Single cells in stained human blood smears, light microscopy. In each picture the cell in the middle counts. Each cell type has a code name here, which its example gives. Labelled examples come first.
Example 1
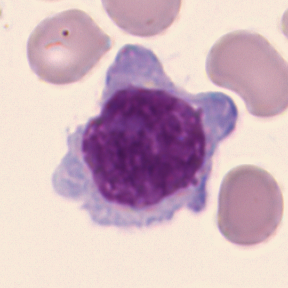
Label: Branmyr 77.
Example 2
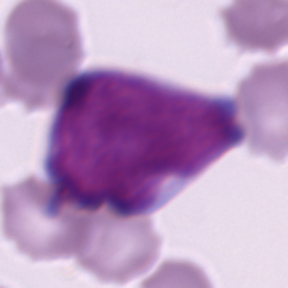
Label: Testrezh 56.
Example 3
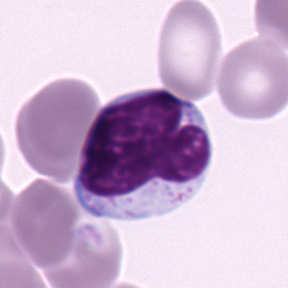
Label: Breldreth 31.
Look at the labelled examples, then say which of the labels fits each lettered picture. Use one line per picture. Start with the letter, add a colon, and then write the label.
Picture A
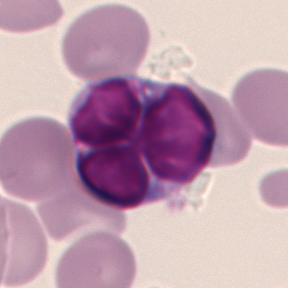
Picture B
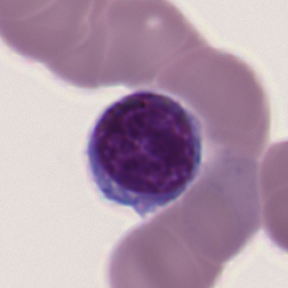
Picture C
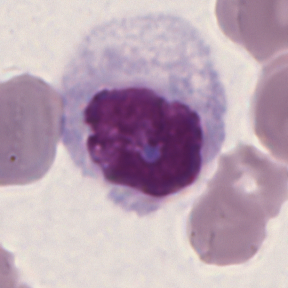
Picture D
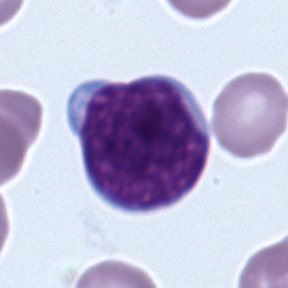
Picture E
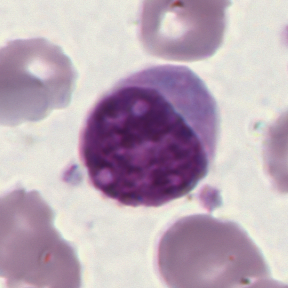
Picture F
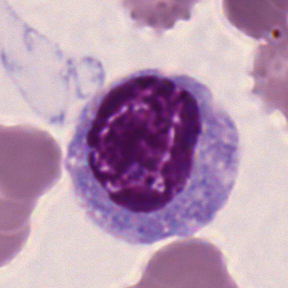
A: Breldreth 31.
B: Branmyr 77.
C: Branmyr 77.
D: Testrezh 56.
E: Branmyr 77.
F: Branmyr 77.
